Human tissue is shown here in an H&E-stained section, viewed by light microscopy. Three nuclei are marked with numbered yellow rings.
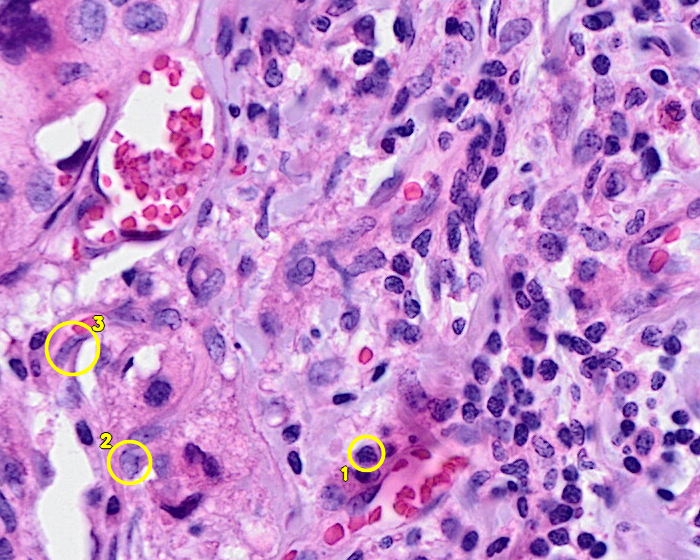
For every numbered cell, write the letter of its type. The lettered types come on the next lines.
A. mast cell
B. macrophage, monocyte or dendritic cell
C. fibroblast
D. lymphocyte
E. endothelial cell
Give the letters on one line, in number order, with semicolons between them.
D; E; E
